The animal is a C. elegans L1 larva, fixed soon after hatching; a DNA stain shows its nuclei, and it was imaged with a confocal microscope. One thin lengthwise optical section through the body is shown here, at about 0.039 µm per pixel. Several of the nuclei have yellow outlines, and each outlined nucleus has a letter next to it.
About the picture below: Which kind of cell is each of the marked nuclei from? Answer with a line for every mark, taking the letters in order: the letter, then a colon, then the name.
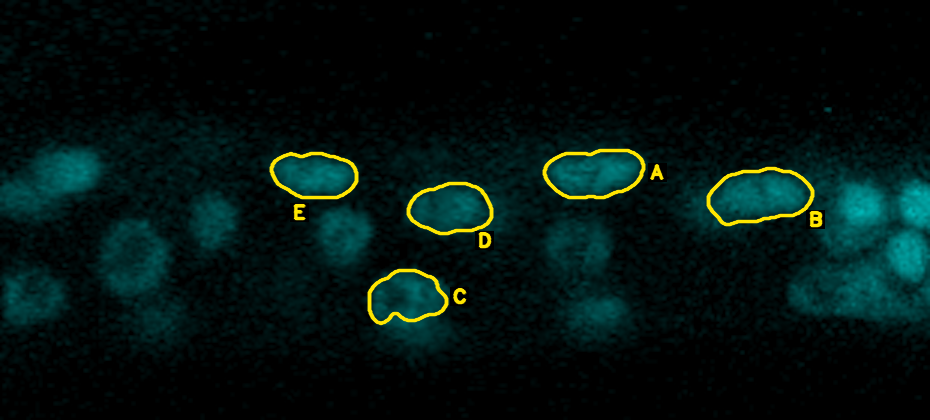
A: body wall muscle cell
B: enteric muscle cell
C: hypodermal cell (hyp)
D: P cell (ventral epidermal blast cell)
E: body wall muscle cell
